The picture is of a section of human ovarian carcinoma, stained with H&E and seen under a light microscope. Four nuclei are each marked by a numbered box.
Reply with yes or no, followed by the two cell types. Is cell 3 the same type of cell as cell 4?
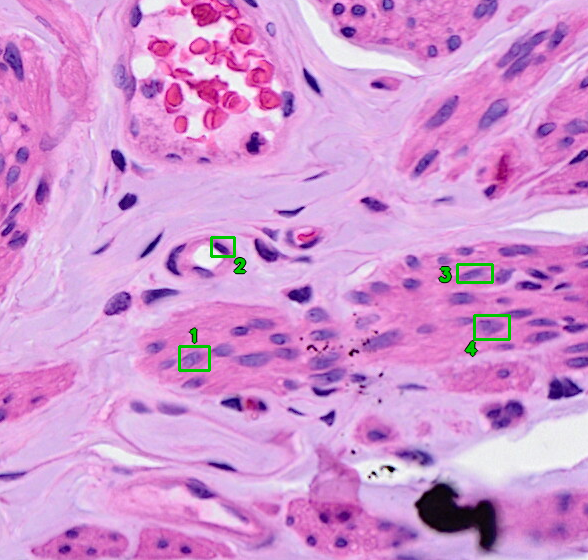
Yes, cell 3 is one of the smooth muscle cells, and so is cell 4.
